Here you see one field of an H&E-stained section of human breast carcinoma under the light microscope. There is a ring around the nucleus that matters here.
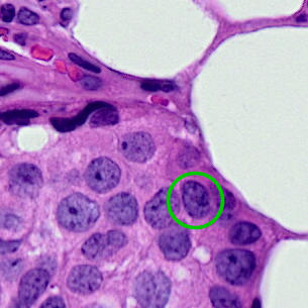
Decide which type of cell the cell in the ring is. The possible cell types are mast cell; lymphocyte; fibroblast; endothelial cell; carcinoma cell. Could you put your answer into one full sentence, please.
What the cell in the ring represents is a carcinoma cell.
